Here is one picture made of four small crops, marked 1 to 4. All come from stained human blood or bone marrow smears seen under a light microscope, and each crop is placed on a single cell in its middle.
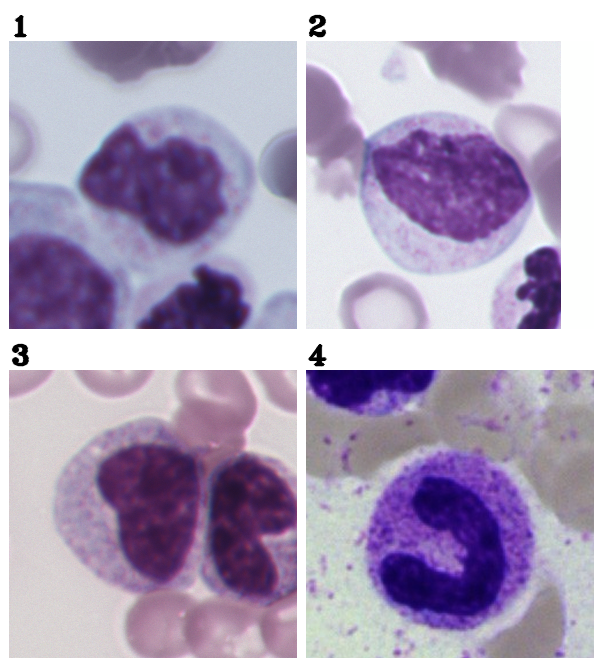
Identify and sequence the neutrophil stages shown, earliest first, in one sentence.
Along the maturation pathway, from earliest to latest, the order is crop 2 (a myelocyte), crop 3 (a metamyelocyte), crop 1 (a band neutrophil) and crop 4 (a segmented neutrophil).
